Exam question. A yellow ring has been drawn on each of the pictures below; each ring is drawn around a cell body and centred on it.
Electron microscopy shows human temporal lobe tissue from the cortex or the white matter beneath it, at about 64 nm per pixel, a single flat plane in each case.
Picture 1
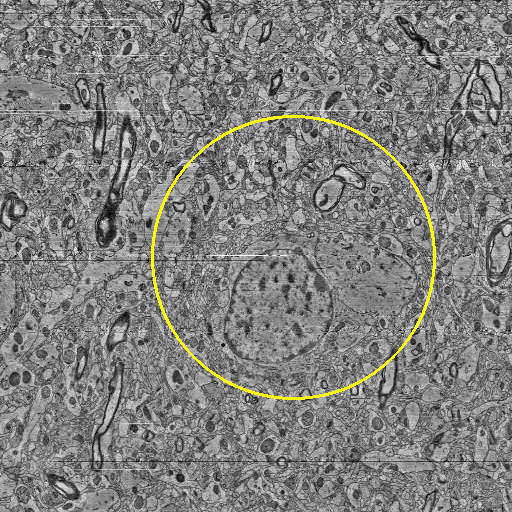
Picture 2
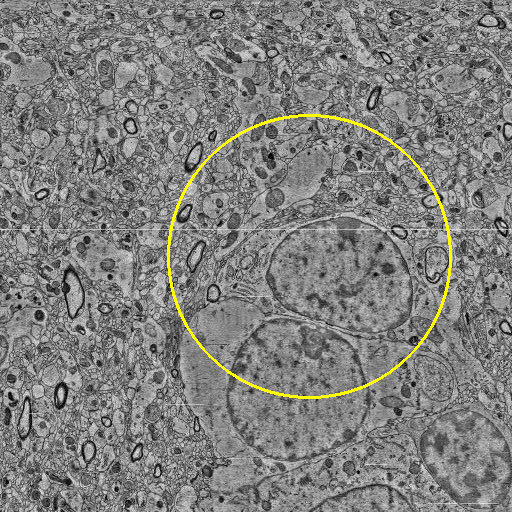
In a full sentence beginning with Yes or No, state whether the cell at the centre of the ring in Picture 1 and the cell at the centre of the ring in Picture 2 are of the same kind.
Yes, the two cells are of the same kind.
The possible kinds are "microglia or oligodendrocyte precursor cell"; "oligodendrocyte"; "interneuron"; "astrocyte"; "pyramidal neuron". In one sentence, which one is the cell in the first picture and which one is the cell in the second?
Both rings mark a microglial cell or oligodendrocyte precursor cell, one in each picture.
